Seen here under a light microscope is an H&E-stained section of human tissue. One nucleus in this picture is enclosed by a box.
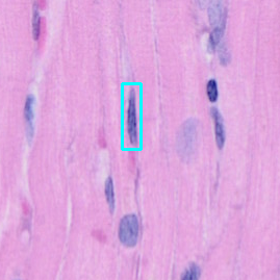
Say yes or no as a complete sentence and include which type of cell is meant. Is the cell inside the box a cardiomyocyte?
No, the cell inside the box is simply an endothelial cell rather than a cardiomyocyte.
